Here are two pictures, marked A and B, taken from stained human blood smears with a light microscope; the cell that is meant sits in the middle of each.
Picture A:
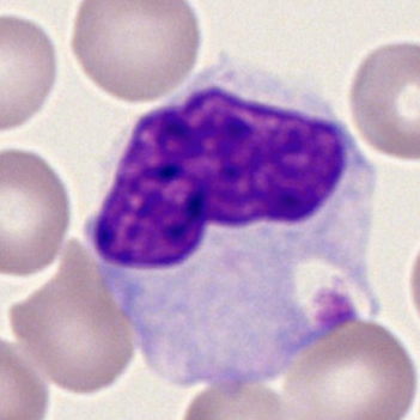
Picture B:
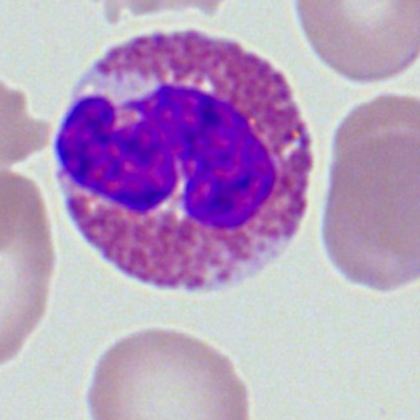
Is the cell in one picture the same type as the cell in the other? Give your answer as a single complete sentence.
No. Picture A shows a monocyte, but picture B shows an eosinophil.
